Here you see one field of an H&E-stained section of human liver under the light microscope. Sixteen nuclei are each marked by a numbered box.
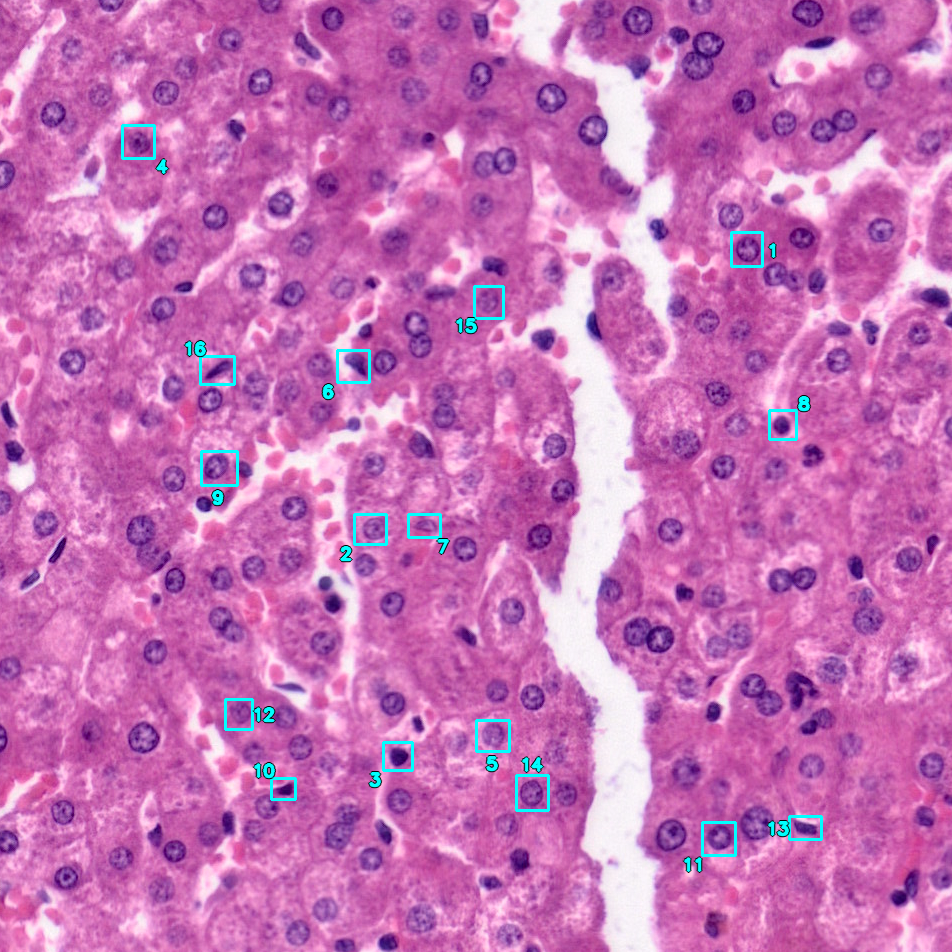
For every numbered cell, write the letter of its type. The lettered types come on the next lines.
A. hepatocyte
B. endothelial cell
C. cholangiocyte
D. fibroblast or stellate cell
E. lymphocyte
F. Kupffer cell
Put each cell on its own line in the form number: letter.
1: A
2: A
3: D
4: A
5: A
6: B
7: B
8: E
9: A
10: D
11: A
12: A
13: D
14: A
15: A
16: D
